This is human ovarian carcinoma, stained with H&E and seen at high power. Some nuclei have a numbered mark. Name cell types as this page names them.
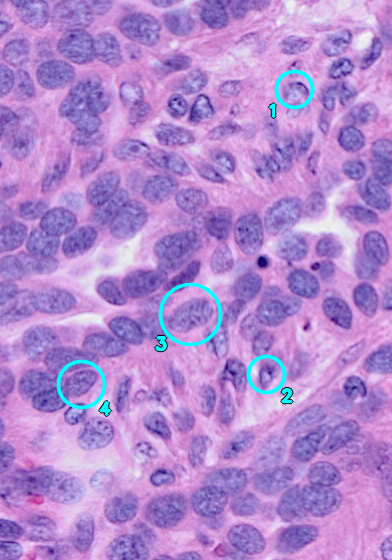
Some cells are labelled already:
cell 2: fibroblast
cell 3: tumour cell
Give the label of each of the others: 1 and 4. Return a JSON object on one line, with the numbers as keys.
{"1": "fibroblast", "4": "tumour cell"}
